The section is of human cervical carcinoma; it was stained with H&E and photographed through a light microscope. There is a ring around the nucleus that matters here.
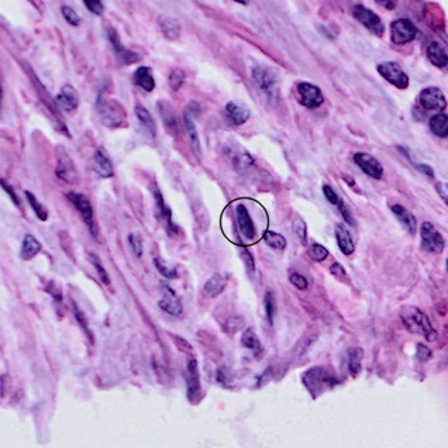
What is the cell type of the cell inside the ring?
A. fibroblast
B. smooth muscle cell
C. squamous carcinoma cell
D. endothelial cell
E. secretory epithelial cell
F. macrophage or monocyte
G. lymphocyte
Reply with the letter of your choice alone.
G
